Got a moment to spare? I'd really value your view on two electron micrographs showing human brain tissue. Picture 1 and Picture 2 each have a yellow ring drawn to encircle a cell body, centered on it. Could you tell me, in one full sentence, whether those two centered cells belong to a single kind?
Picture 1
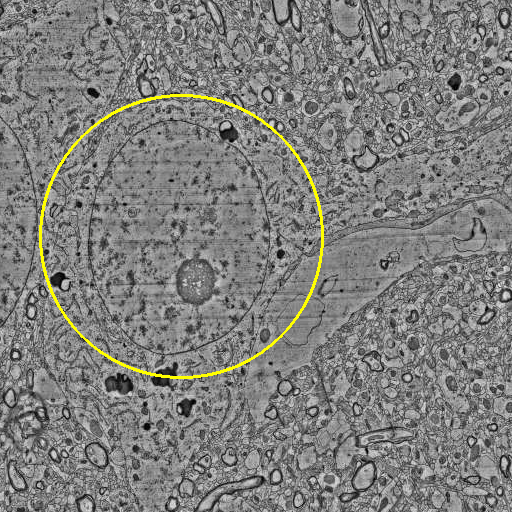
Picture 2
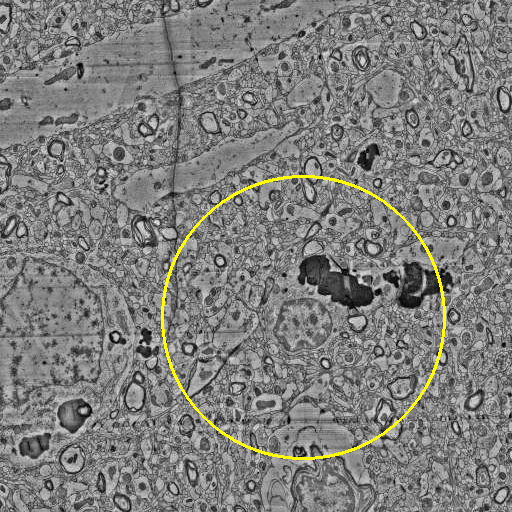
No, the two centered cells in Picture 1 and Picture 2 are of two kinds.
